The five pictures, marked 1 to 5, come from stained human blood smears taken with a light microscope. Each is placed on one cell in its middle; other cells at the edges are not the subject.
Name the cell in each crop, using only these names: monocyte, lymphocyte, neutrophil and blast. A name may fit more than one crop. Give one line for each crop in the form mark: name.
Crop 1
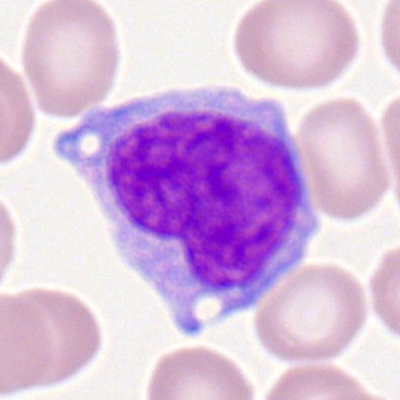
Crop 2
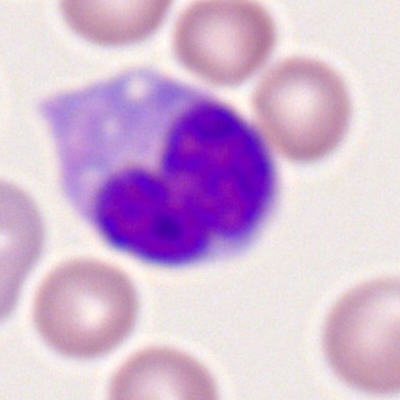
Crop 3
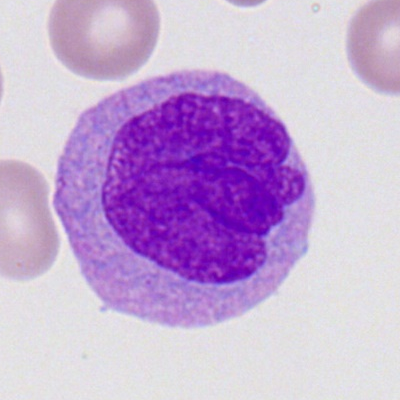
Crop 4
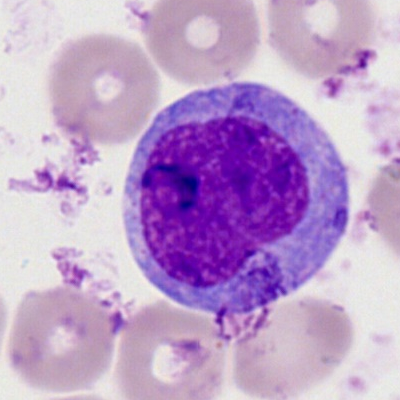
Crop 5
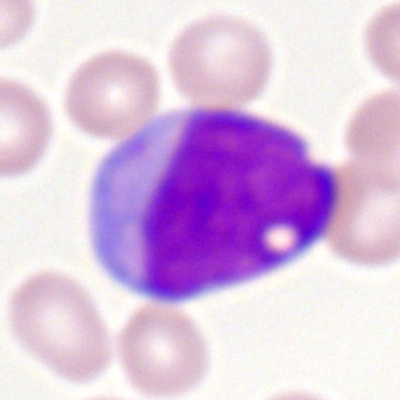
1: monocyte
2: monocyte
3: blast
4: blast
5: blast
